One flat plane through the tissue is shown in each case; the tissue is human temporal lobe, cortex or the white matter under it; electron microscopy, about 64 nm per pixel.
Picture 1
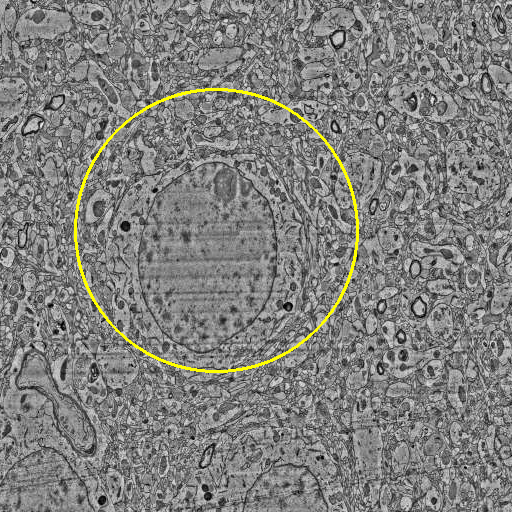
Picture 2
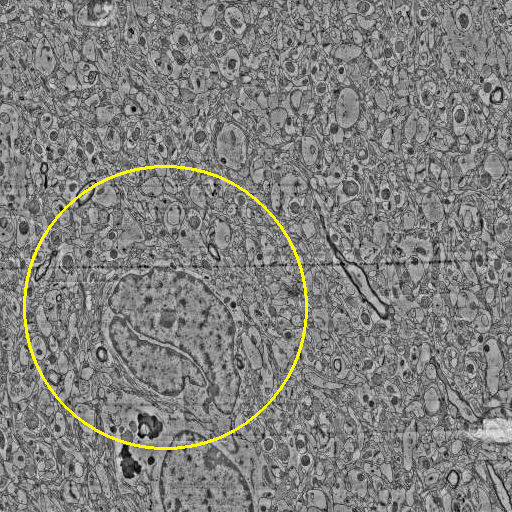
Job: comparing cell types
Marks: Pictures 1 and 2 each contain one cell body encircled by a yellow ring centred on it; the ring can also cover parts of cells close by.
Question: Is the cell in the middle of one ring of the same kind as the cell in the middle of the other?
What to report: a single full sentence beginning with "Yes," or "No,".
No, the cell at the ring centre in Picture 1 and its partner in Picture 2 are of two kinds.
